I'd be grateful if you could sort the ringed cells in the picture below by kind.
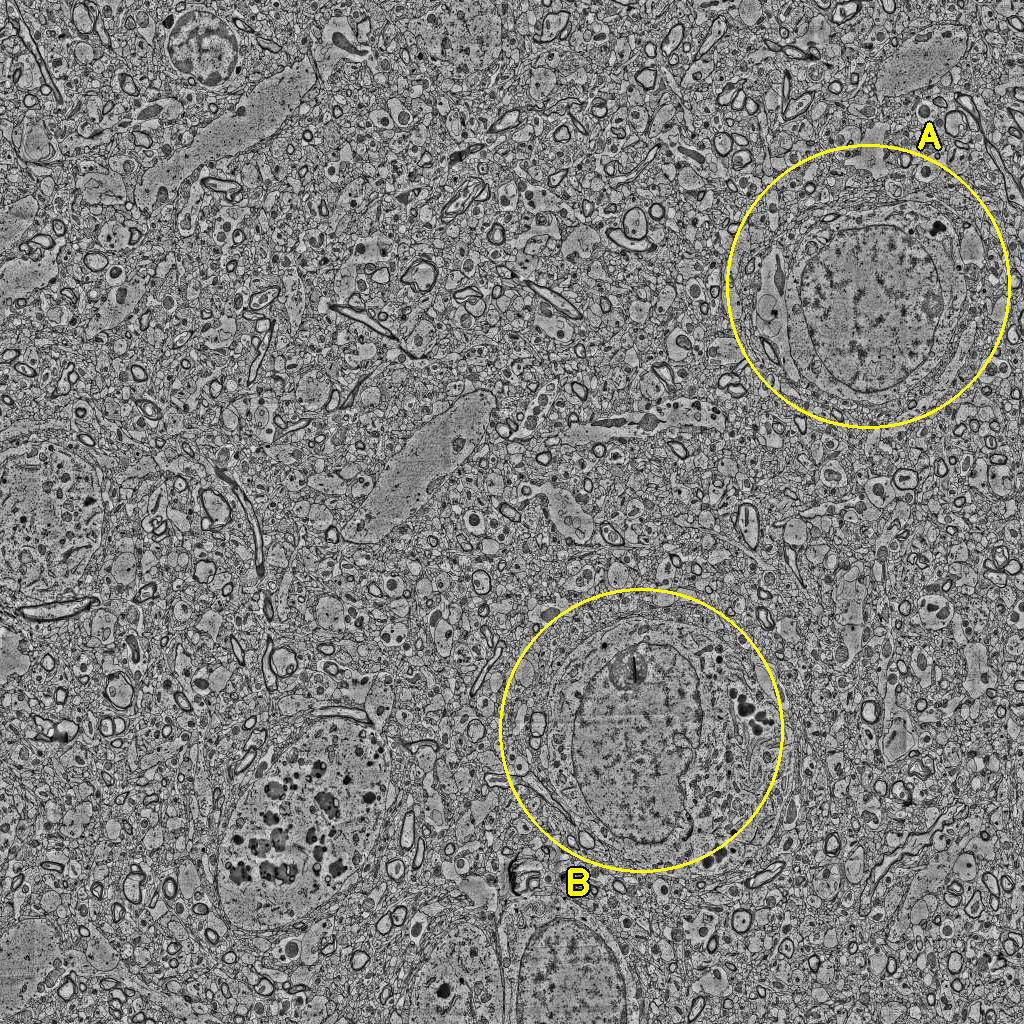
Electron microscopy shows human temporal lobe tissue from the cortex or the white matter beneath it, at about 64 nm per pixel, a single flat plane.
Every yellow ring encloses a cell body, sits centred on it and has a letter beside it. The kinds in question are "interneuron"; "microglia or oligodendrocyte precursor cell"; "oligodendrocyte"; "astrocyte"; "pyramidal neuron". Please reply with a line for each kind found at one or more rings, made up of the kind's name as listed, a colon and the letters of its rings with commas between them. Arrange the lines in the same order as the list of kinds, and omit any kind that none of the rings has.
interneuron: B
pyramidal neuron: A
